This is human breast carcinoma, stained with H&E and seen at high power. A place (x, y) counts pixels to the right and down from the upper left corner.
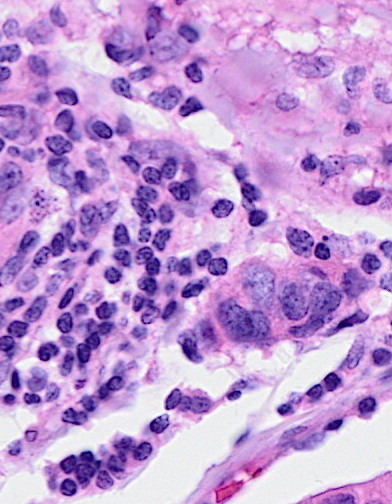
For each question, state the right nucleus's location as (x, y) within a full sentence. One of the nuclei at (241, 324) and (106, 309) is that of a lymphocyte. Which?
Of these two nuclei, only the one at (106, 309) belongs to a lymphocyte.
